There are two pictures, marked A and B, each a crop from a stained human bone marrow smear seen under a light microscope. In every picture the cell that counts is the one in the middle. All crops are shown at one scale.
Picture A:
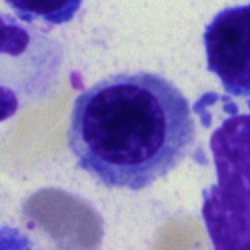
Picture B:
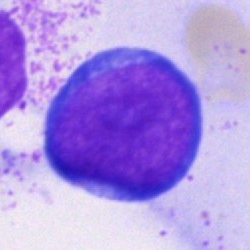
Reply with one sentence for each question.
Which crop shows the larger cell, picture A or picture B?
It is the cell in picture B, about 2 times as large in area as the cell in picture A.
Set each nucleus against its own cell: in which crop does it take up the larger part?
Of the two, the nucleus in picture B makes up the greater part of its cell.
